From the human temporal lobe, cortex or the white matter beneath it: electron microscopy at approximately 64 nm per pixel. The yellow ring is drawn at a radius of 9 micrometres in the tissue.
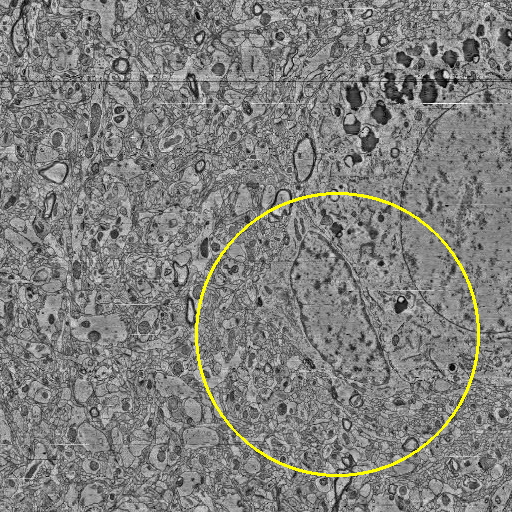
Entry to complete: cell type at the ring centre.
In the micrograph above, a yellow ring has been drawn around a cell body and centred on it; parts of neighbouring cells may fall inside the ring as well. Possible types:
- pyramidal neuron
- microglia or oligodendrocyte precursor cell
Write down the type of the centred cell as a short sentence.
The ring is centred on a microglial cell or oligodendrocyte precursor cell.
